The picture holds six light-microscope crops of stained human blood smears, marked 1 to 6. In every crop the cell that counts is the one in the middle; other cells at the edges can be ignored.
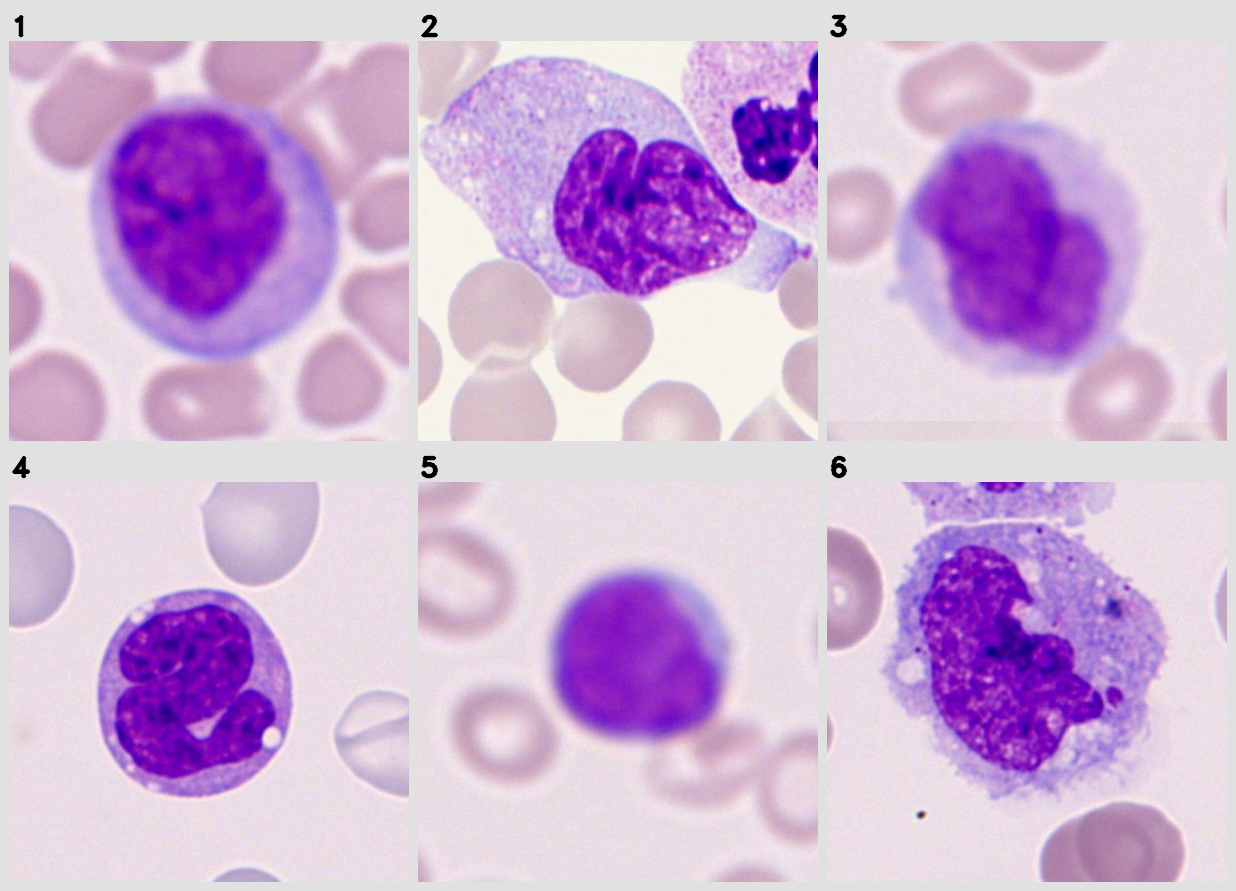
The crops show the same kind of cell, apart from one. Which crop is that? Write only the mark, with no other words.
5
